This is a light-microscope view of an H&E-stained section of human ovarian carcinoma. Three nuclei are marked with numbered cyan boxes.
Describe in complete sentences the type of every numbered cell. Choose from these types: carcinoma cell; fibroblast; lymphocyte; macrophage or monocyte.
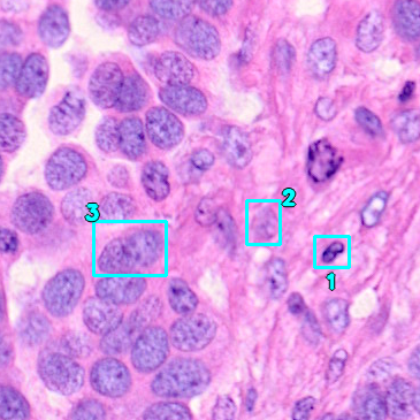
Cell 1 is a lymphocyte. Cell 2 is a fibroblast. Cell 3 is a carcinoma cell.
